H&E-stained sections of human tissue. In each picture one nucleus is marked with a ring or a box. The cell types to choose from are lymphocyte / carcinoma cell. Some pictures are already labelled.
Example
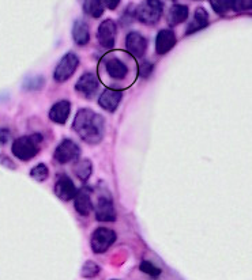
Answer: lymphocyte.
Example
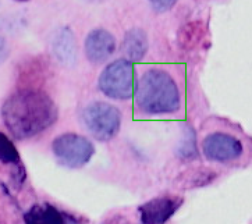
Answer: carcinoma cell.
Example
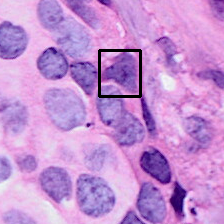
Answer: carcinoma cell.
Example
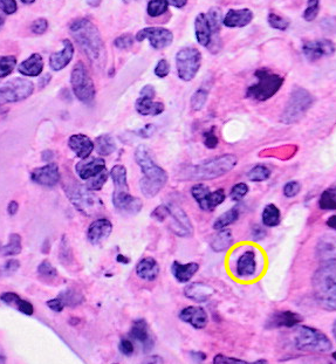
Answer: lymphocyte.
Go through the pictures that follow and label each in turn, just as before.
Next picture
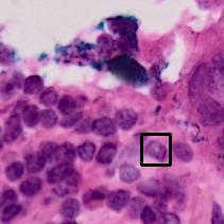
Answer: lymphocyte.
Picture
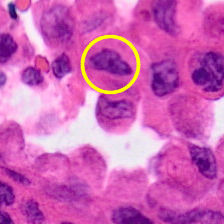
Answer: carcinoma cell.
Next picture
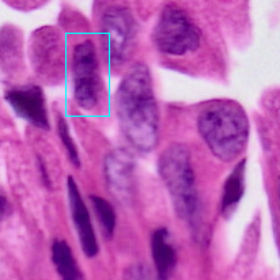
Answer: carcinoma cell.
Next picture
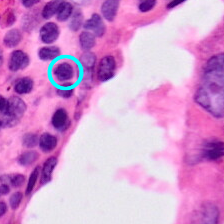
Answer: lymphocyte.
